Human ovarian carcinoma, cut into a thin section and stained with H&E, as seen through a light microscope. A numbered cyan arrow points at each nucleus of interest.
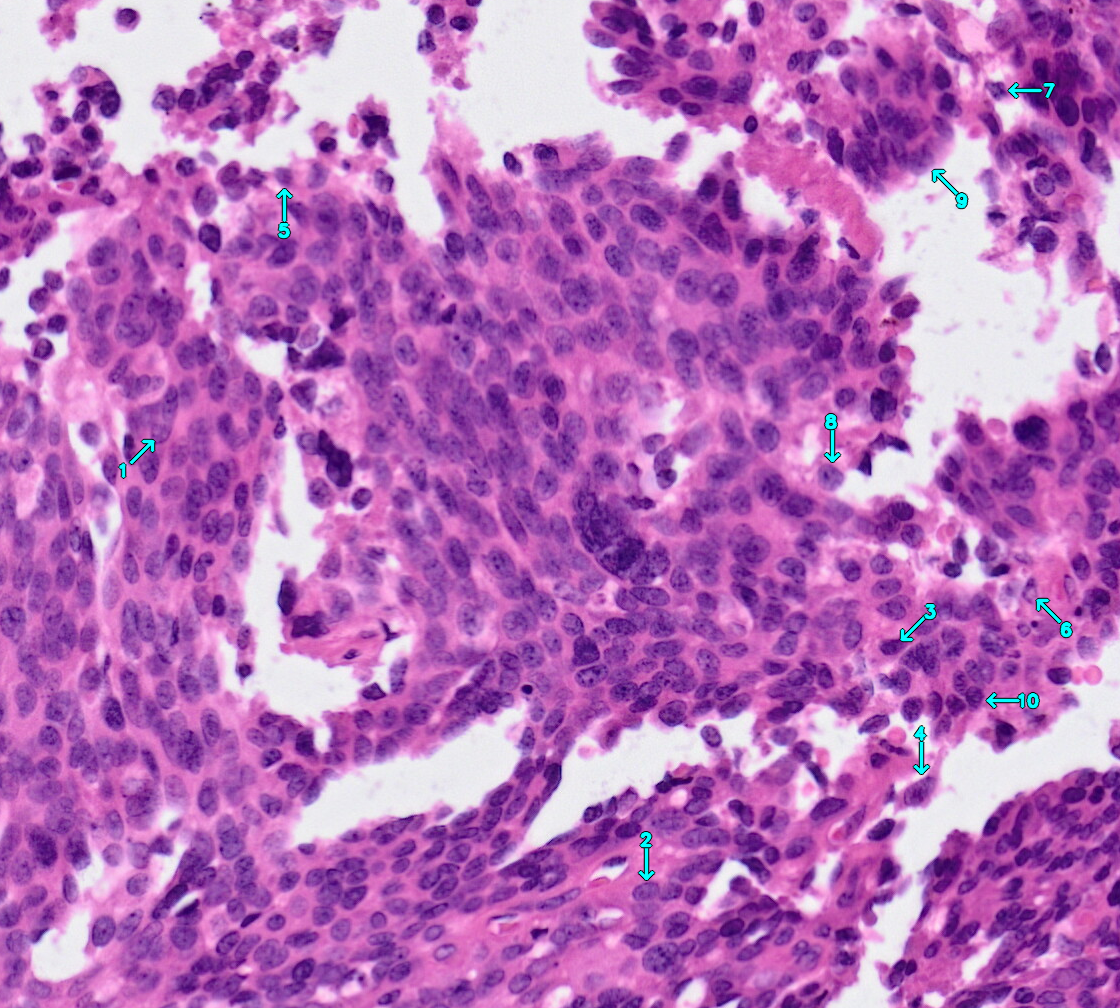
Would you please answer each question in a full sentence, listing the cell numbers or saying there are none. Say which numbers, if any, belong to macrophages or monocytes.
The cells with labels 4, 6, 7 and 8 are macrophages or monocytes.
